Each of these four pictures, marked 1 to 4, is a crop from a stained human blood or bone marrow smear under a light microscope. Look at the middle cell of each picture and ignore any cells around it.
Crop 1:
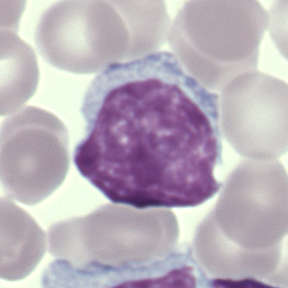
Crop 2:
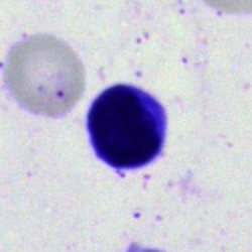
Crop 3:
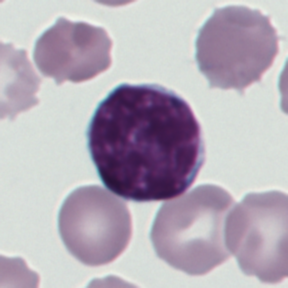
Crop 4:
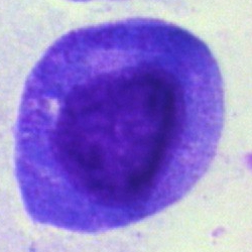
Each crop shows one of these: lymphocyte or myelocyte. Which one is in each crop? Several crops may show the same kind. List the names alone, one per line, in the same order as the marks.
lymphocyte
lymphocyte
lymphocyte
myelocyte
